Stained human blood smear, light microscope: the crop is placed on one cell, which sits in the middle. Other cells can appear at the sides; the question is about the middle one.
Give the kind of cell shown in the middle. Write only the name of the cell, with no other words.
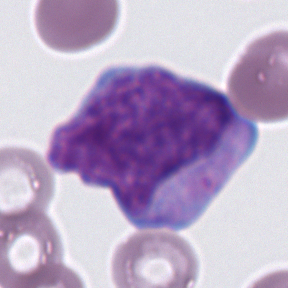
atypical promyelocyte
